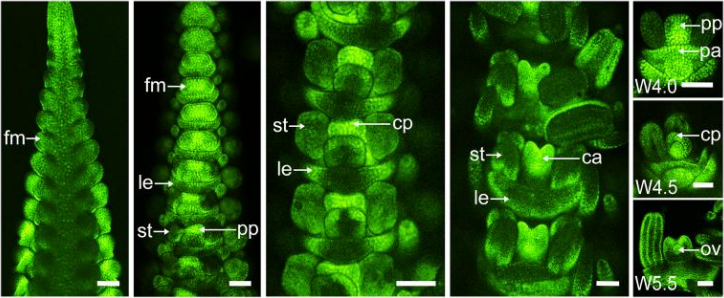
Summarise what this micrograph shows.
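Young spikes and florets seen in green fluorescence, with small rounded floral meristems stacked in two rows along a tapering axis. In older florets an outer lemma encloses rounded stamens around a central primordium, and the central organs fluoresce brightly; single florets show the growing central organ and, later, an ovule.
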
